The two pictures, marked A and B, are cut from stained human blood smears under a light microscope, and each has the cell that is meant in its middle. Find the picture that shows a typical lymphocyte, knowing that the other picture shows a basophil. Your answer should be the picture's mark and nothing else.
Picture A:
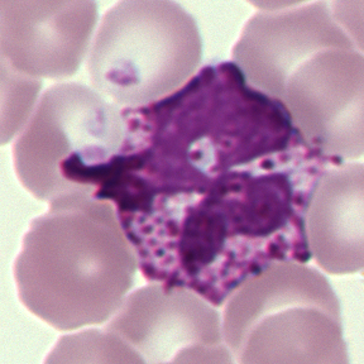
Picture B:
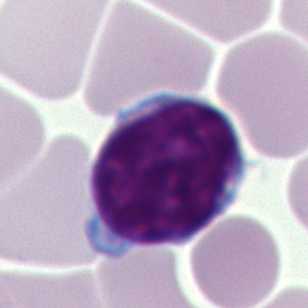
B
